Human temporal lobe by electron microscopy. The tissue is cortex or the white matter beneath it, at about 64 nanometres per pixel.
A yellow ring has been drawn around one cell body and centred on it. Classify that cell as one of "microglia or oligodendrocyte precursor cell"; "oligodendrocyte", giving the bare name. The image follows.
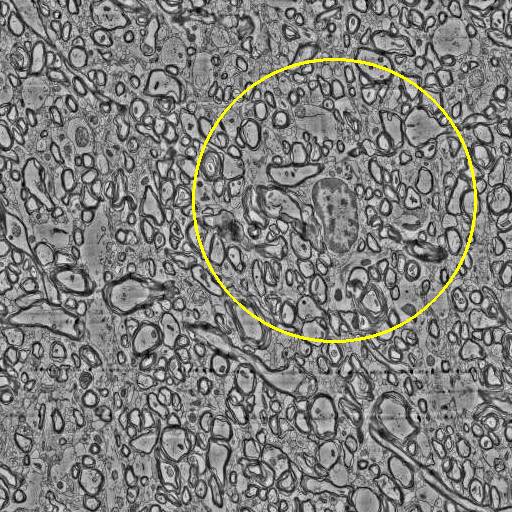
microglia or oligodendrocyte precursor cell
